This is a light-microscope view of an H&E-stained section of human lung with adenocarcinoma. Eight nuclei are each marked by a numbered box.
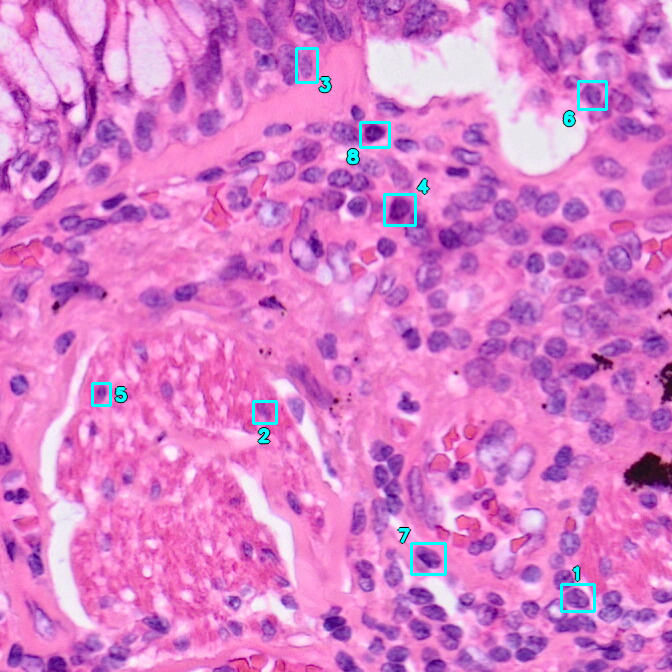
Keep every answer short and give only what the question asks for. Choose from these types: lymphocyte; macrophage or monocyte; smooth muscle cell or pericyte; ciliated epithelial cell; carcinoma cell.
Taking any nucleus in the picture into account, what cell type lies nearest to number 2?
lymphocyte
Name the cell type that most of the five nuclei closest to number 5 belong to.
smooth muscle cell or pericyte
